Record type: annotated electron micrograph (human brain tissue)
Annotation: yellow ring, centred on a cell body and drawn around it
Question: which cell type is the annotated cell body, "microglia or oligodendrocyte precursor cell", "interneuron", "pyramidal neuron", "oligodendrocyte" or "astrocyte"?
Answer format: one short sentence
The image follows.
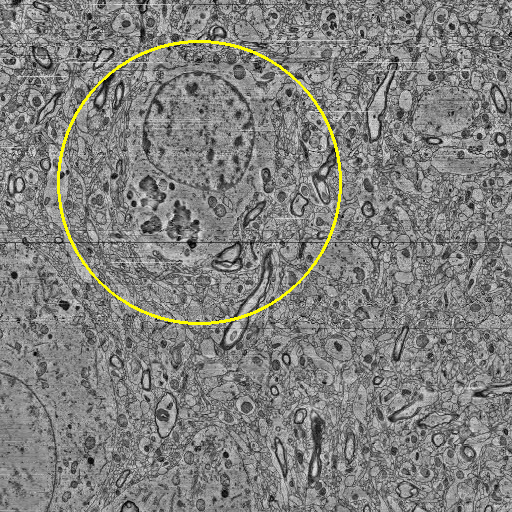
The annotated cell body is that of an astrocyte.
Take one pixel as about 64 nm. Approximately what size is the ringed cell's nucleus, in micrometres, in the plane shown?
In this plane the nucleus is about 8 micrometres across.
